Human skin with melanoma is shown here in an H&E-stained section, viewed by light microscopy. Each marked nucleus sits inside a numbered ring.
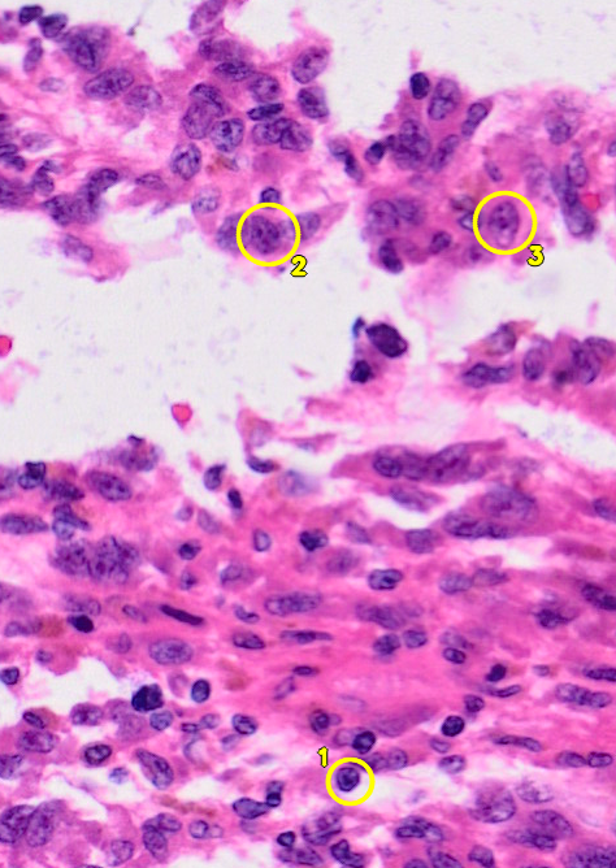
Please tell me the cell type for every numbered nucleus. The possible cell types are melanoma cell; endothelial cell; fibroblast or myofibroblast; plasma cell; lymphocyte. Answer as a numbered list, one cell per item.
1. lymphocyte
2. melanoma cell
3. melanoma cell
